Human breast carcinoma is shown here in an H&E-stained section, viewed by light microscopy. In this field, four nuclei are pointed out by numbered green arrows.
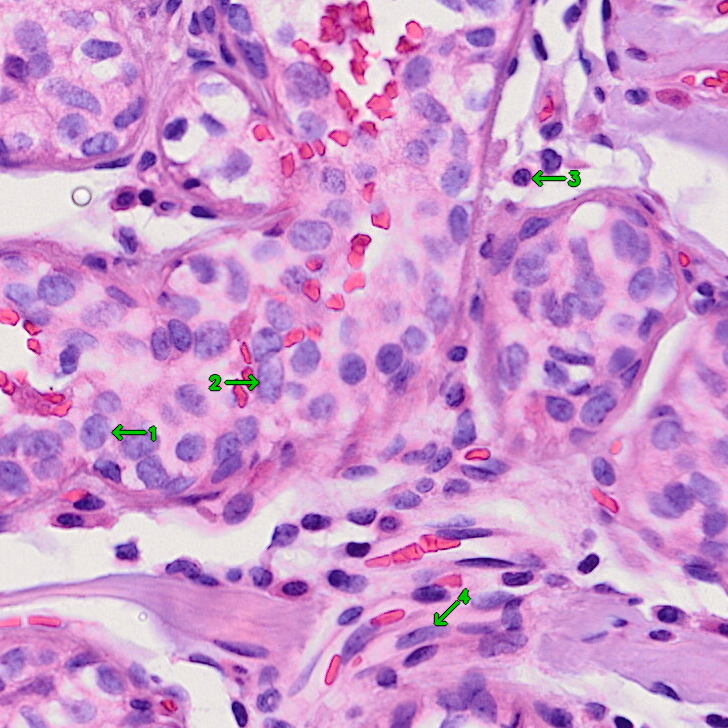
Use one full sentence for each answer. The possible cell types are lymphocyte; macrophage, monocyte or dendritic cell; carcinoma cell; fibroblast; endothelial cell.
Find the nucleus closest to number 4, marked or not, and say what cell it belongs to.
The nucleus nearest to number 4 is that of an endothelial cell.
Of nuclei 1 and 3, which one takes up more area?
It is nucleus 1, which covers about 2.5 times the area of nucleus 3.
